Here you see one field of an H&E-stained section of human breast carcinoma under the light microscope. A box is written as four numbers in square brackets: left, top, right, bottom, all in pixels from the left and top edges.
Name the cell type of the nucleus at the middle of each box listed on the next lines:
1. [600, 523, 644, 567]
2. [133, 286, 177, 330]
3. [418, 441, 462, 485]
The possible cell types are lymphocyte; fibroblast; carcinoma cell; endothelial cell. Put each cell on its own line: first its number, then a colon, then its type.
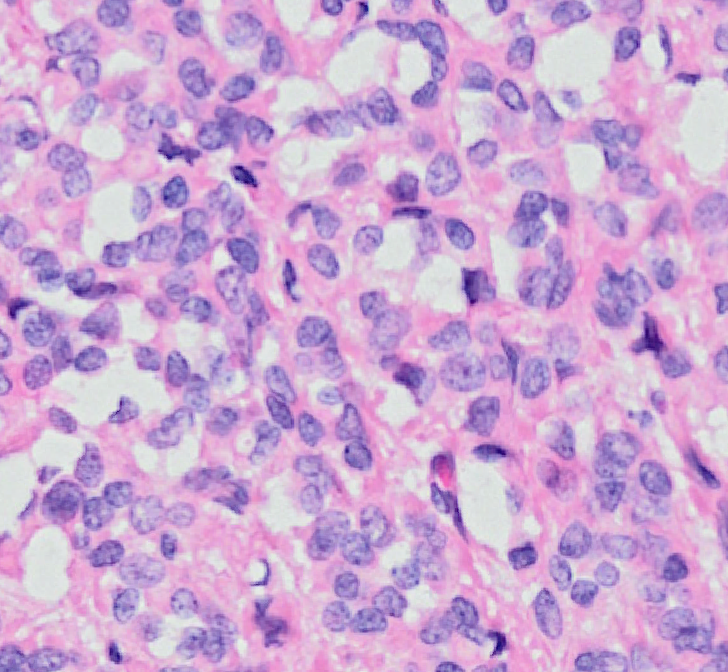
1: carcinoma cell
2: carcinoma cell
3: endothelial cell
